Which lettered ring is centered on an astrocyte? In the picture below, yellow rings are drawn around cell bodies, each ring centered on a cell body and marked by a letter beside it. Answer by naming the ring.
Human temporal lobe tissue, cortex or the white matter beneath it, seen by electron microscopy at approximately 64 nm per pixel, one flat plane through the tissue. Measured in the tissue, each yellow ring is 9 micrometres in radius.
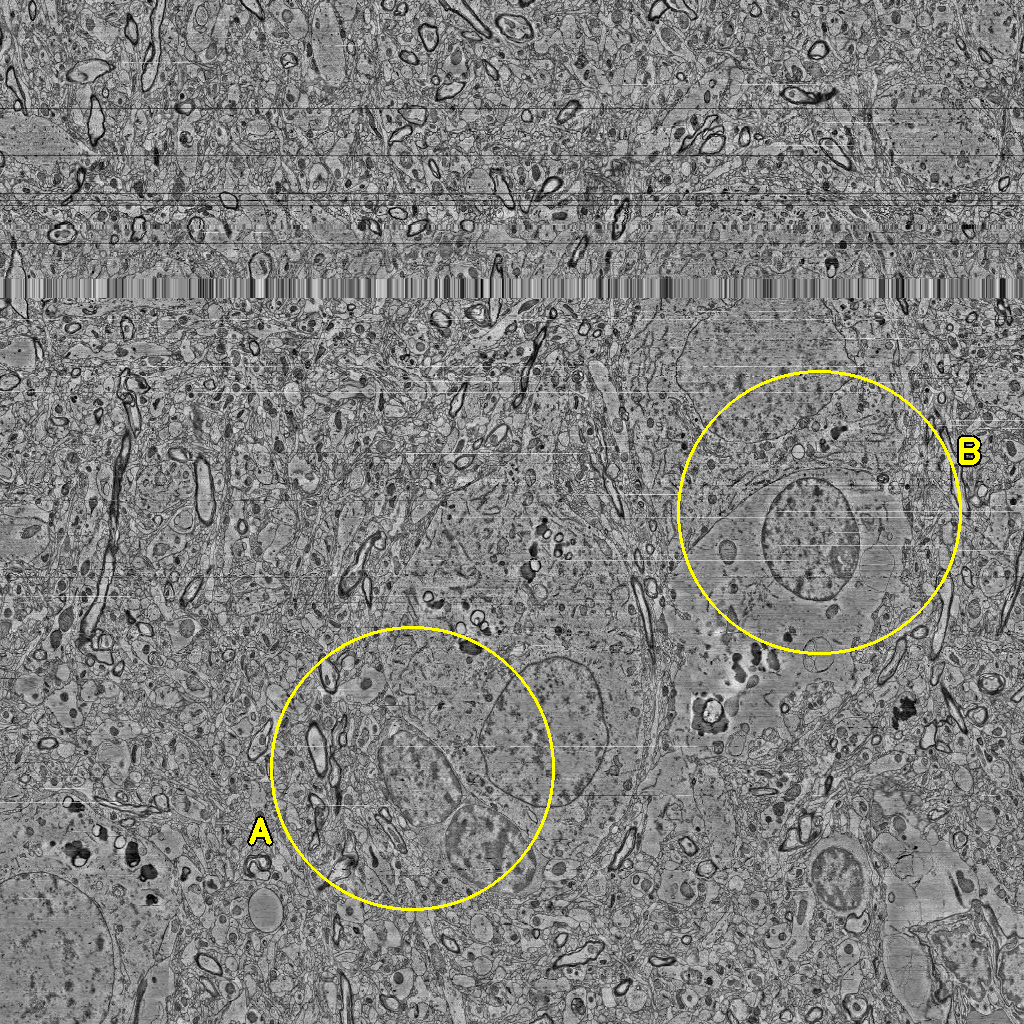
Ring B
